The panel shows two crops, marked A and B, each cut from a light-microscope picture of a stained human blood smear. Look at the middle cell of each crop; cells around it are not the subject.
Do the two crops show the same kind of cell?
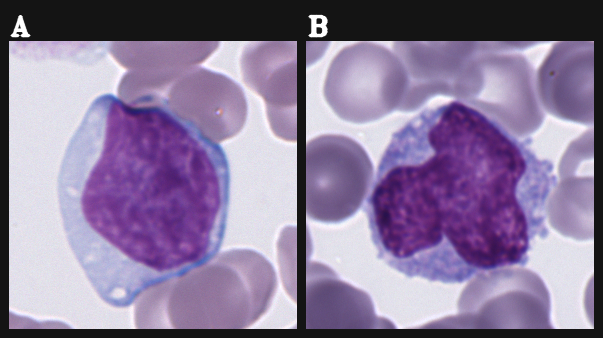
no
